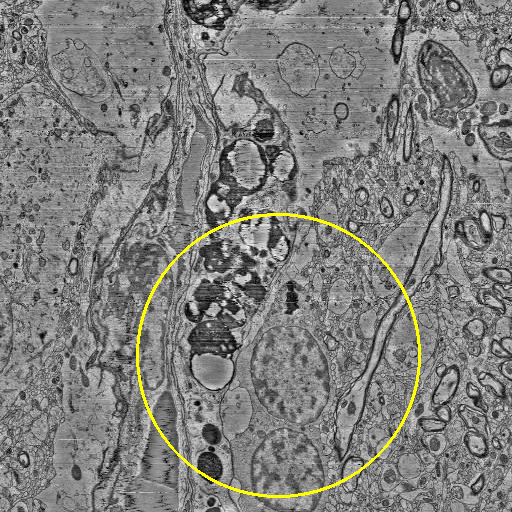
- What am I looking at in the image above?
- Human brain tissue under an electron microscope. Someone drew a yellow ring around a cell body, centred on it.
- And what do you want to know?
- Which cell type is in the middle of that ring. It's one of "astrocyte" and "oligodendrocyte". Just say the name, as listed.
oligodendrocyte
